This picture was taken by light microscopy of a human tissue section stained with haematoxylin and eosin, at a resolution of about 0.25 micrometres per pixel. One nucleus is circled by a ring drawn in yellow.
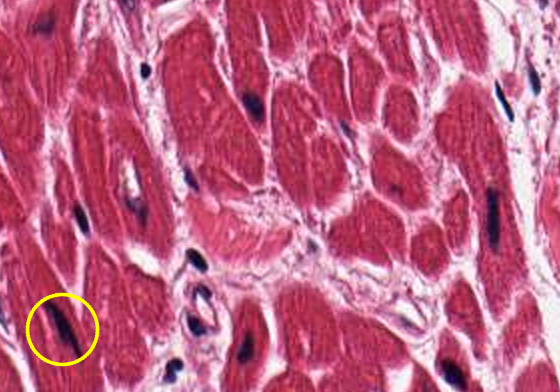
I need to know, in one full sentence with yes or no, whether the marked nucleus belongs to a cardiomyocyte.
Yes, the marked nucleus is one that belongs to a cardiomyocyte.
